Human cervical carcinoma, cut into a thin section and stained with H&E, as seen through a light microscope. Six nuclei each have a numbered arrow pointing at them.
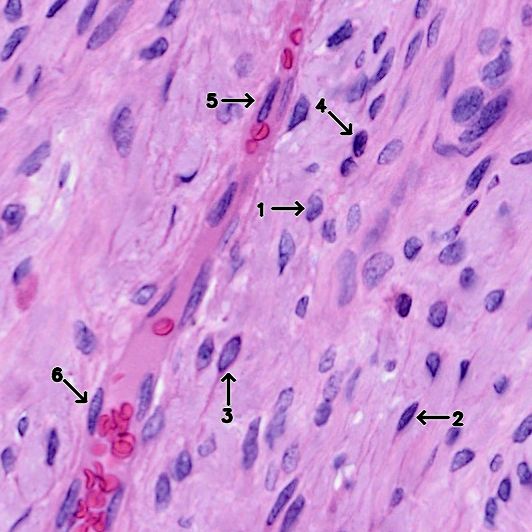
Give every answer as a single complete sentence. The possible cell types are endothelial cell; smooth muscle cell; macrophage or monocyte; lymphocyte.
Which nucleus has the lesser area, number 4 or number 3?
It is nucleus 4; nucleus 3 has about 2 times its area.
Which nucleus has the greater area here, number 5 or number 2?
Nucleus 5 is larger, with an area about 1.5 times that of nucleus 2.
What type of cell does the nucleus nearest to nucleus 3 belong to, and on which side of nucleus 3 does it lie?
It is a smooth muscle cell, whose nucleus lies to the left of nucleus 3.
